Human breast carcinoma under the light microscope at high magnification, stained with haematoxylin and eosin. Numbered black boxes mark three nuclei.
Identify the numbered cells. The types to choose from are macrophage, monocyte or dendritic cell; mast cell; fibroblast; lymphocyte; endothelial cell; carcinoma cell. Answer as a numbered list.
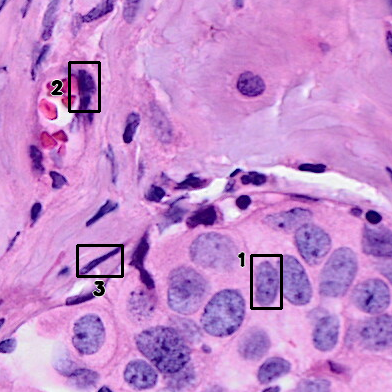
1. carcinoma cell
2. endothelial cell
3. fibroblast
